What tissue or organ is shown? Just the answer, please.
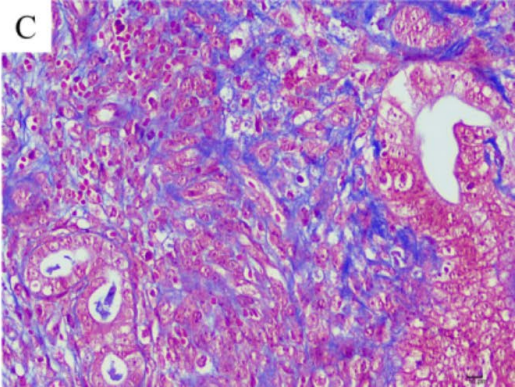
Uteruses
